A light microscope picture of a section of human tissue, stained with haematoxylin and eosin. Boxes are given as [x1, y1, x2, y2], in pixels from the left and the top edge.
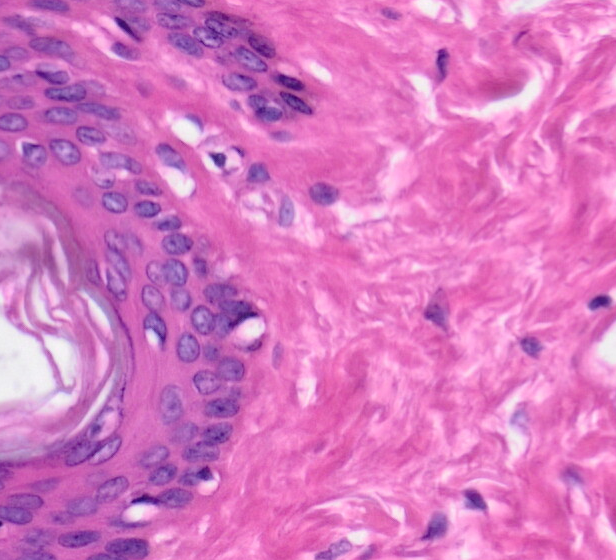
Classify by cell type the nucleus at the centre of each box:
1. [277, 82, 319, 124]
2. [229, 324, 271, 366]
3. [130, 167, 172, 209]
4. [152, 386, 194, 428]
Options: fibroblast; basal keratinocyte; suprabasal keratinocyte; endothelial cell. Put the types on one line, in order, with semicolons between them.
basal keratinocyte; basal keratinocyte; basal keratinocyte; suprabasal keratinocyte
